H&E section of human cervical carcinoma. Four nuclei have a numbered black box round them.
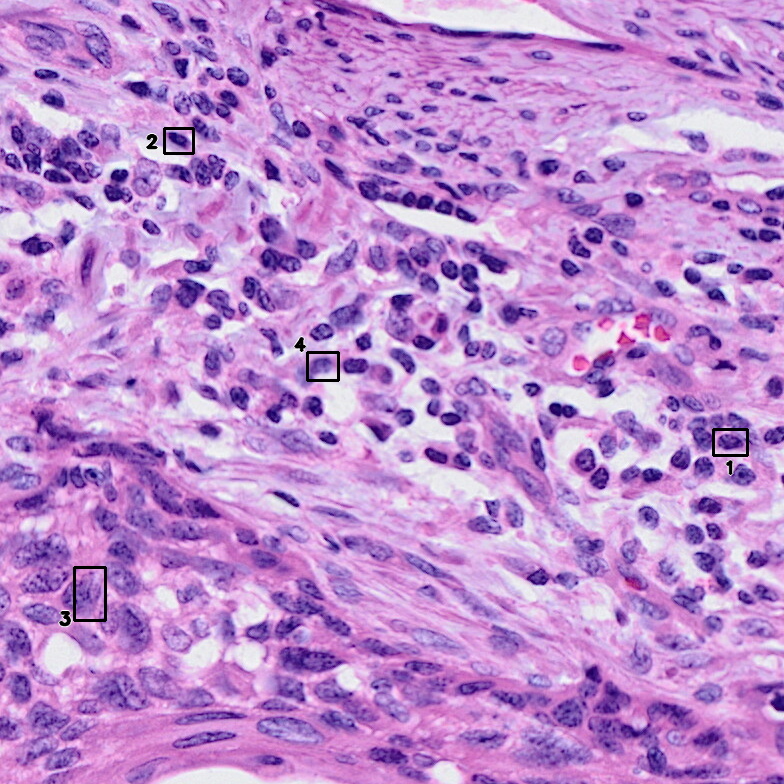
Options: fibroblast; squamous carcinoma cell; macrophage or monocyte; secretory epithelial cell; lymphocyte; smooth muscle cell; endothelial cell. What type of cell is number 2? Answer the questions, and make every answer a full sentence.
The numbered cell 2 is identified here as a lymphocyte.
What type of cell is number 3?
The cell marked with the number 3 is a squamous carcinoma cell.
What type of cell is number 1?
Within this field of view, the cell labelled 1 is a lymphocyte.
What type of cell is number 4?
The nucleus with number 4 is that of a lymphocyte.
